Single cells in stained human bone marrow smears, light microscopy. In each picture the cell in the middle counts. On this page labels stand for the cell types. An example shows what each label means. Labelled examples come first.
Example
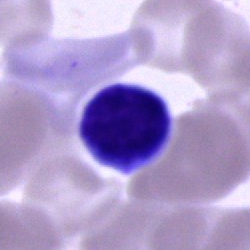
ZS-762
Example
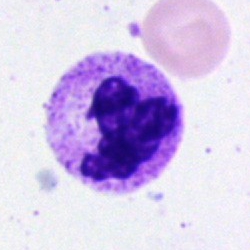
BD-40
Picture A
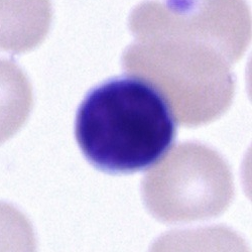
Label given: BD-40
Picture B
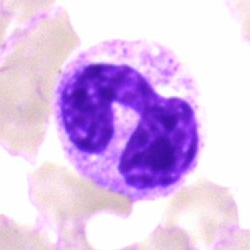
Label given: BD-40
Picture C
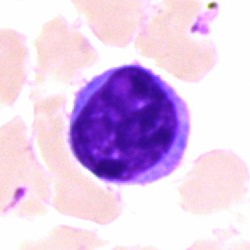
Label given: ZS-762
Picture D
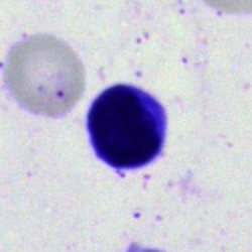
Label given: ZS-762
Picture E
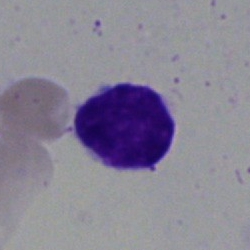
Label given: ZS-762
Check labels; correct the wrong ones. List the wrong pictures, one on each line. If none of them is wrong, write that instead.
A: ZS-762, not BD-40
